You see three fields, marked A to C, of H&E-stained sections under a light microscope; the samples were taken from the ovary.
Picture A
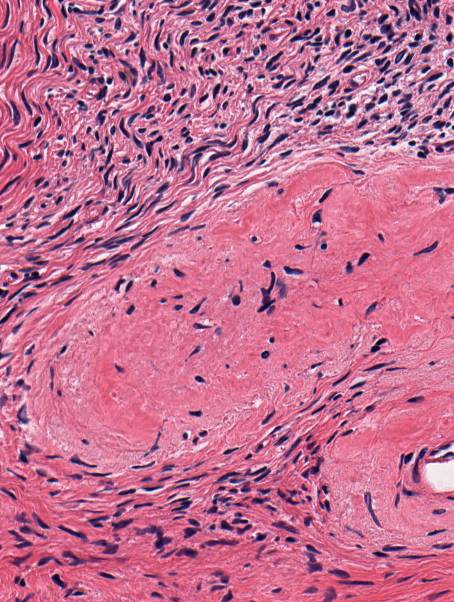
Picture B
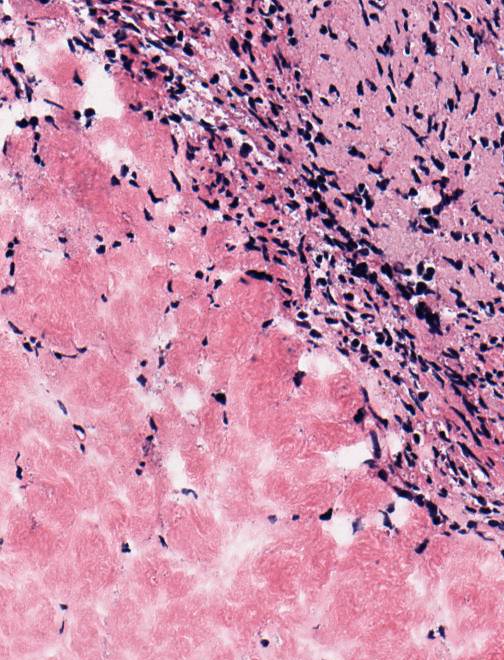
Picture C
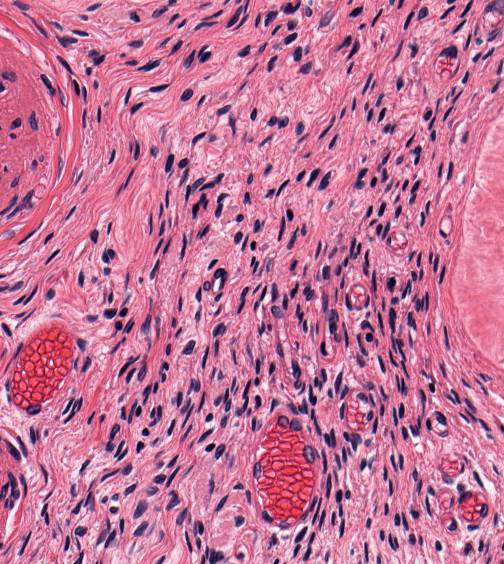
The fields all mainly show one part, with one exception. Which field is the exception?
C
